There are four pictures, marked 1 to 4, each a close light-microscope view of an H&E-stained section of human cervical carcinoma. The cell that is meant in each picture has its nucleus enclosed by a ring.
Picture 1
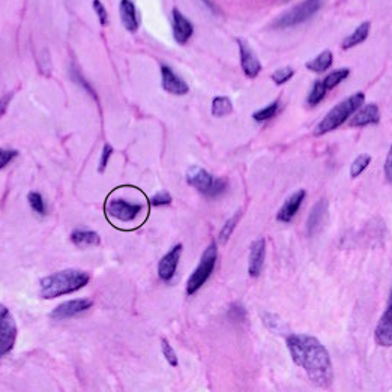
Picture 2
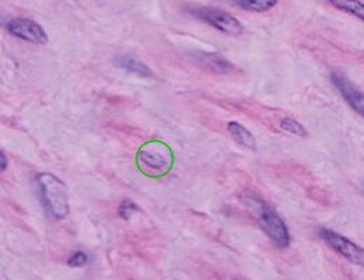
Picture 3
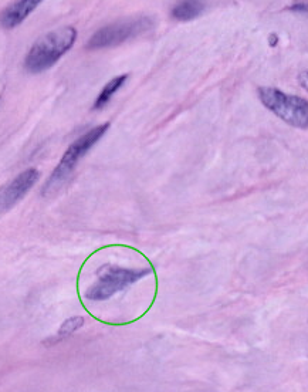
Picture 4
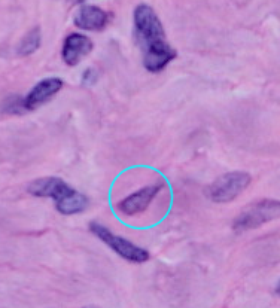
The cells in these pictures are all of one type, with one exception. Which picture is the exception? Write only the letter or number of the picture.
2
